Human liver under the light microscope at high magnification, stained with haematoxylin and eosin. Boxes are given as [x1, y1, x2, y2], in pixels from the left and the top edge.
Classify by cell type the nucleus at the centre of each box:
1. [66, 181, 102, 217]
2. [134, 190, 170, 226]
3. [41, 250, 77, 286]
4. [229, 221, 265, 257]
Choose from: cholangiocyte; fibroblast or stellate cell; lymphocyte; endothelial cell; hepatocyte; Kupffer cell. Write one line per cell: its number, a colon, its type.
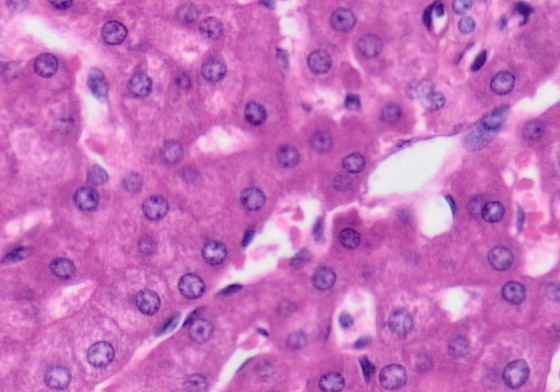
1: hepatocyte
2: hepatocyte
3: hepatocyte
4: fibroblast or stellate cell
